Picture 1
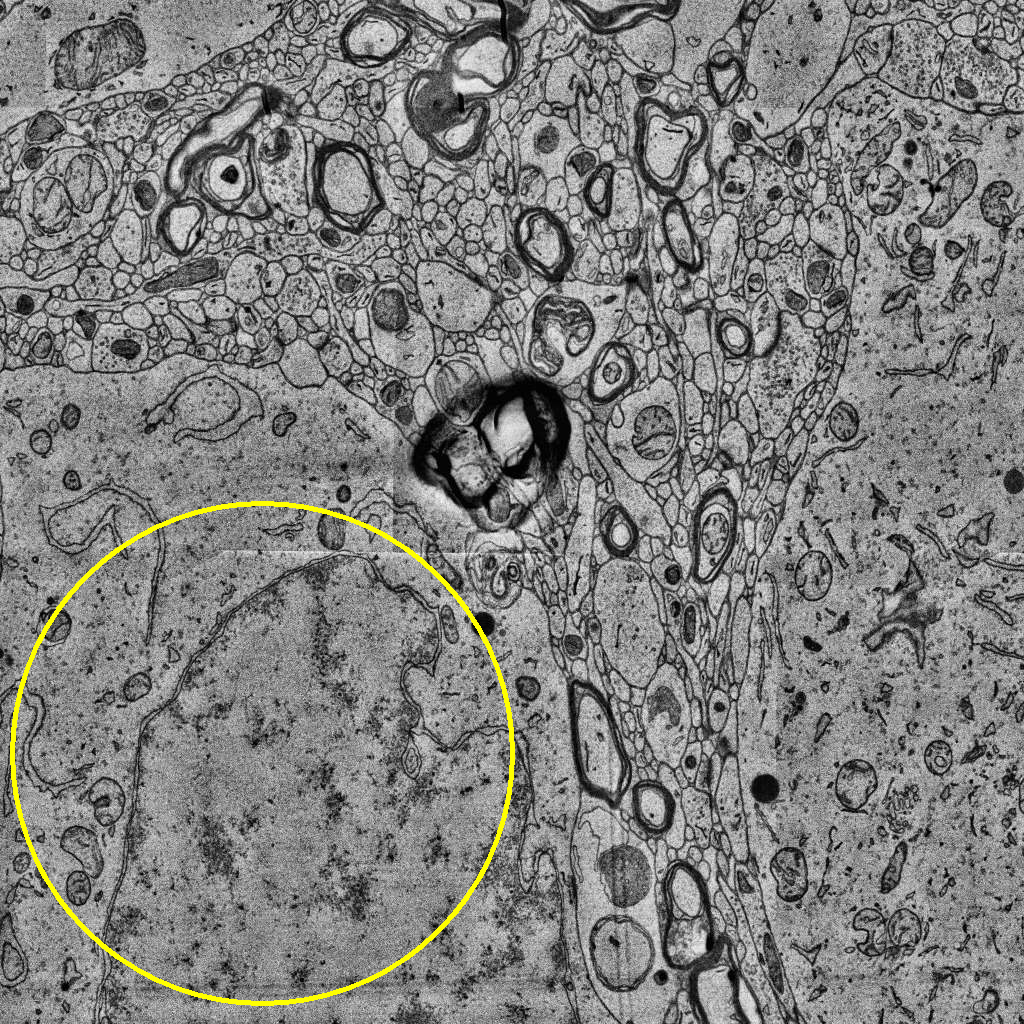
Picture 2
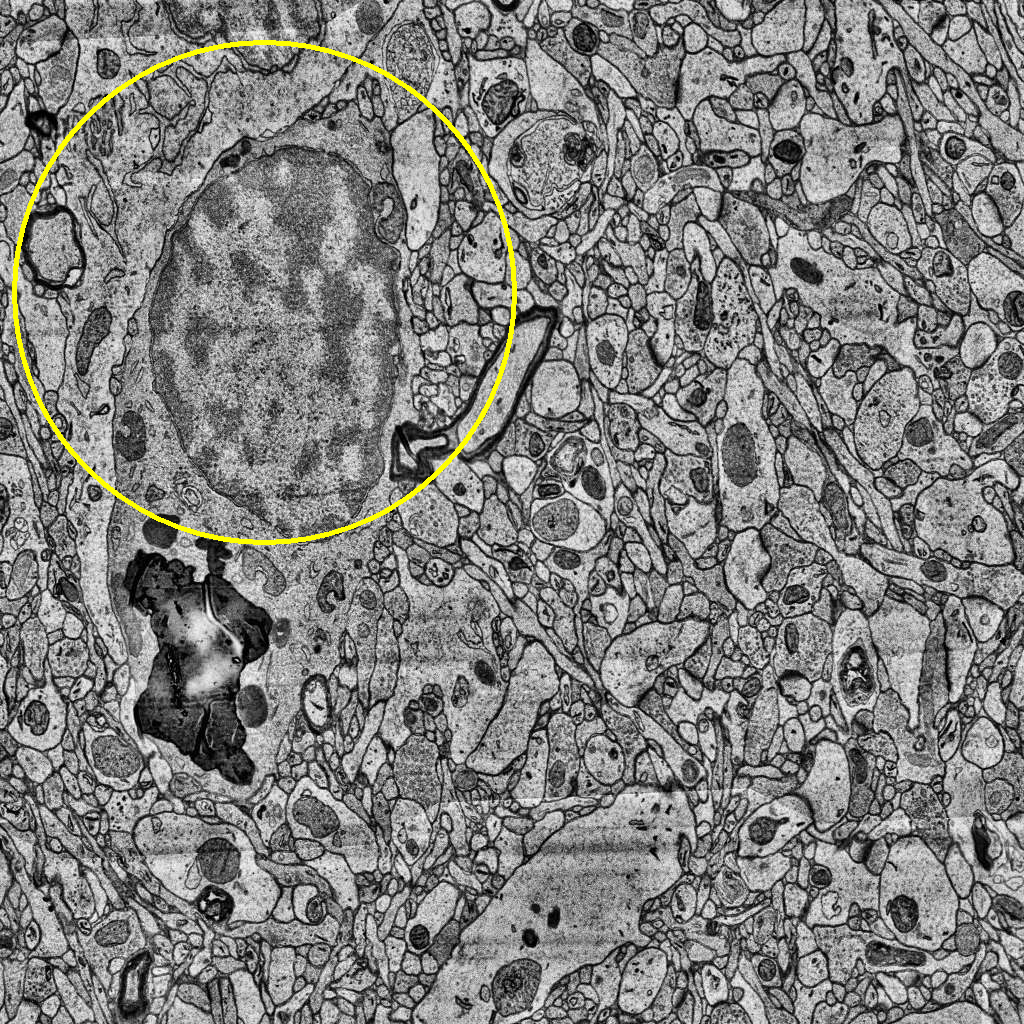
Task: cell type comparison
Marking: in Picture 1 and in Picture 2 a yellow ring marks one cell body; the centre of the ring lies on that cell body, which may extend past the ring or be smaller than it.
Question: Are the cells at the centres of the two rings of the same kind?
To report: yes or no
no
